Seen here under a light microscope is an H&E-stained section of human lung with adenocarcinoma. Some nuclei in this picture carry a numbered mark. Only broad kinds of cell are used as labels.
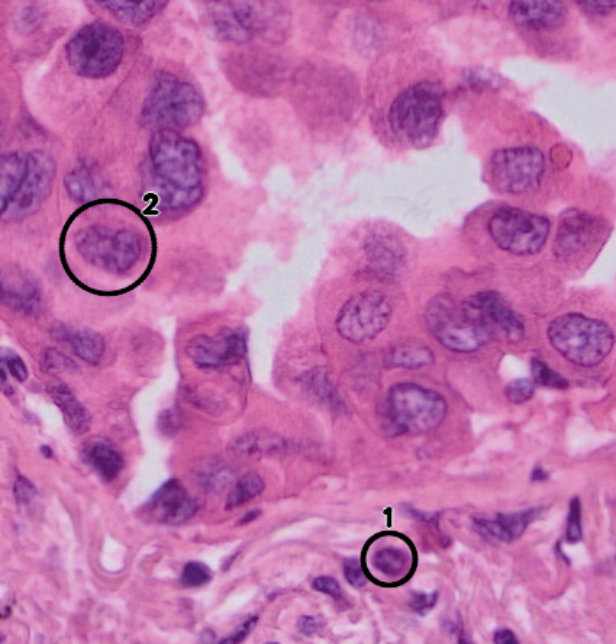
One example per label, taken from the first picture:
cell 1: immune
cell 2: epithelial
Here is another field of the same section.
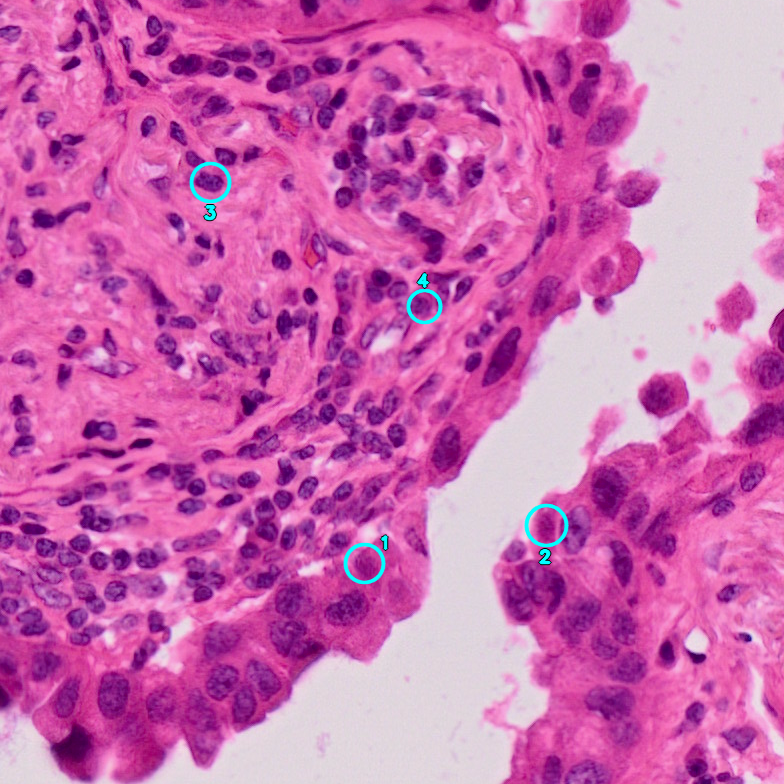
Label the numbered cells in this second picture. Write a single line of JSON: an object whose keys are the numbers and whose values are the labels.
{"1": "epithelial", "2": "epithelial", "3": "immune", "4": "immune"}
